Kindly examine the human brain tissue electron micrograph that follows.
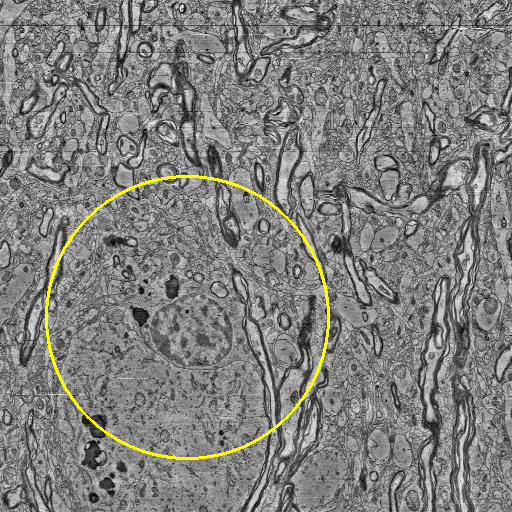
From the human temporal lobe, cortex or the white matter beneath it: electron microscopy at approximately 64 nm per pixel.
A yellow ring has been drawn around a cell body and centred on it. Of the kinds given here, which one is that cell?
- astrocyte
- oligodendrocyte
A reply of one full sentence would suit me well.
The micrograph's ringed cell, the one at the ring's centre, is an oligodendrocyte.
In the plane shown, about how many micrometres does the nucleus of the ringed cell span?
Roughly 5 micrometres across for the nucleus, in this plane.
